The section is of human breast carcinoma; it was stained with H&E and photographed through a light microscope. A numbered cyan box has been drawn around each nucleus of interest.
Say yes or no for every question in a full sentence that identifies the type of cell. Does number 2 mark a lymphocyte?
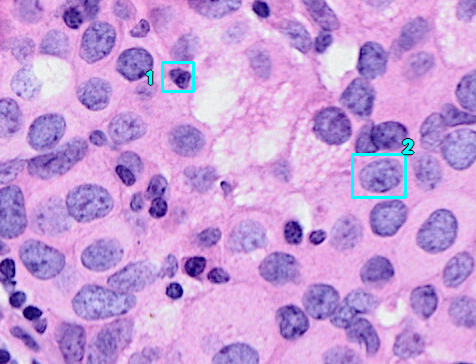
No, cell 2 is to be classed as a carcinoma cell, not a lymphocyte.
